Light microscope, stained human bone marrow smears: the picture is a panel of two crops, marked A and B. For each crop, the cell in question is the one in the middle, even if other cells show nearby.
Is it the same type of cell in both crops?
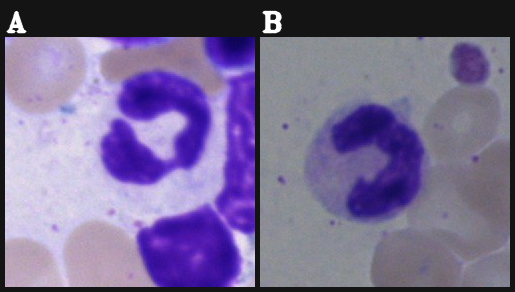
yes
